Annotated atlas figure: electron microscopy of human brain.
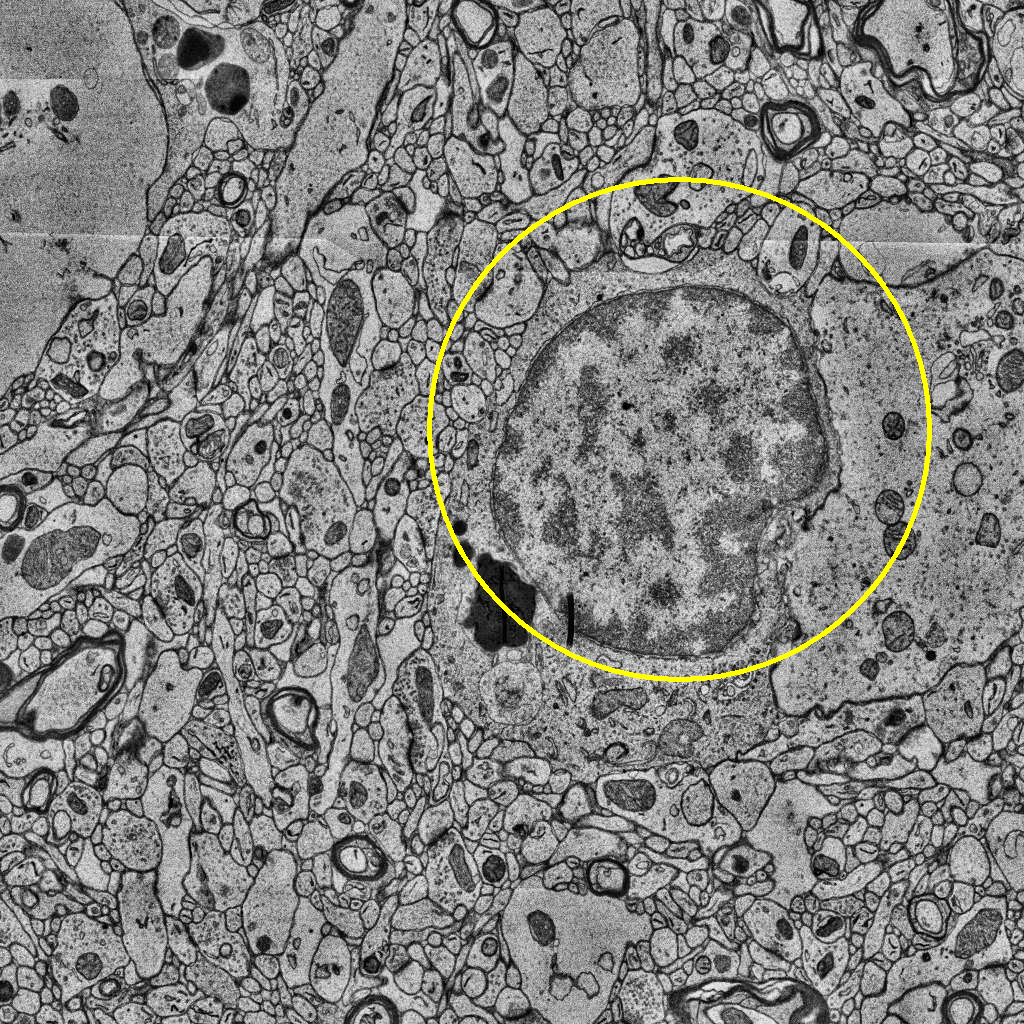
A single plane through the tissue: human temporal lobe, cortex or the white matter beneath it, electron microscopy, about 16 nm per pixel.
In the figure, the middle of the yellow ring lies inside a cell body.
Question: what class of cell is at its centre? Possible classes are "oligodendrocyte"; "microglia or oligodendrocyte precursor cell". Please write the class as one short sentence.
The yellow ring's centre lies in an oligodendrocyte.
